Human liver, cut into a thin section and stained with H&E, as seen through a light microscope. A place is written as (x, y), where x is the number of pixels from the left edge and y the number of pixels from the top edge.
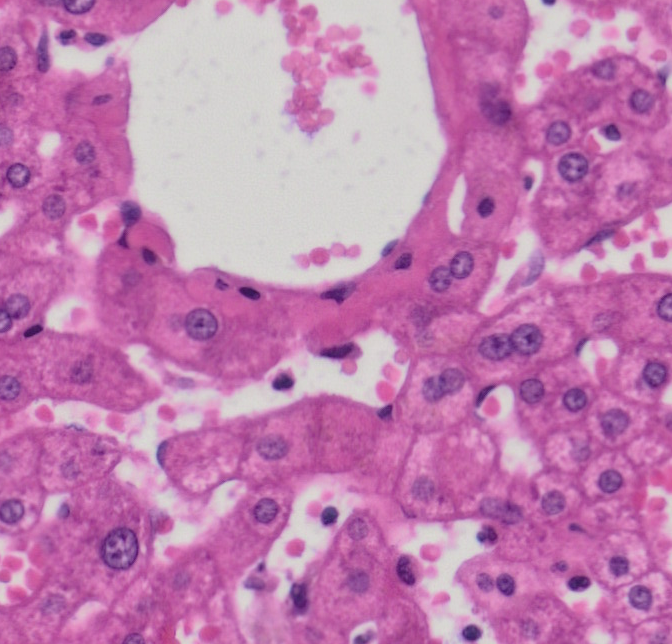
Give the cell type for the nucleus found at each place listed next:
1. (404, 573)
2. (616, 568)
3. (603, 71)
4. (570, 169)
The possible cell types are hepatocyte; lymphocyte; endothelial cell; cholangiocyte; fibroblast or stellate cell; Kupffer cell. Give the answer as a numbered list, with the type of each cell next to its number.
1. Kupffer cell
2. hepatocyte
3. hepatocyte
4. hepatocyte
